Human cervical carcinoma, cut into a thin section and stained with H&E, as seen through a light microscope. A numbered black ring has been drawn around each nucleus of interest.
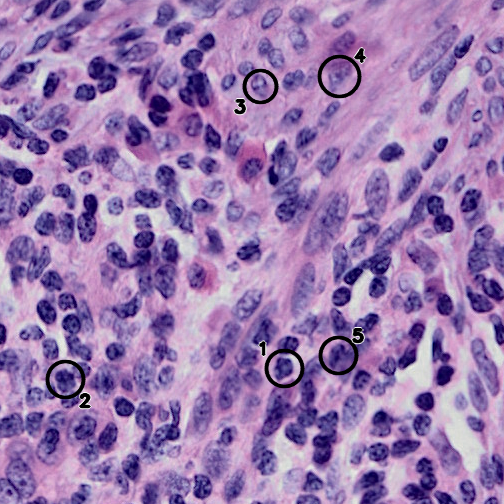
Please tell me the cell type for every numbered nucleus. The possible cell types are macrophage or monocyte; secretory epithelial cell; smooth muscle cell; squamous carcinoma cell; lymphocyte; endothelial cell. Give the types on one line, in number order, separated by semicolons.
lymphocyte; lymphocyte; smooth muscle cell; smooth muscle cell; lymphocyte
